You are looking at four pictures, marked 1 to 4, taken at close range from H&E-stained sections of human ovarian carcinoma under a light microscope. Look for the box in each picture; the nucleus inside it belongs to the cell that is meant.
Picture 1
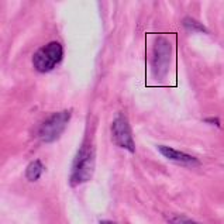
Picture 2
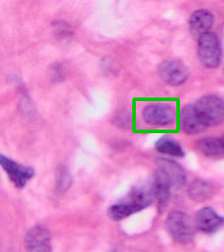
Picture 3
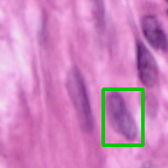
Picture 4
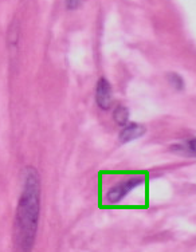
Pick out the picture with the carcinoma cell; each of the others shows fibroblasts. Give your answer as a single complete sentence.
The carcinoma cell is the one in picture 2.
